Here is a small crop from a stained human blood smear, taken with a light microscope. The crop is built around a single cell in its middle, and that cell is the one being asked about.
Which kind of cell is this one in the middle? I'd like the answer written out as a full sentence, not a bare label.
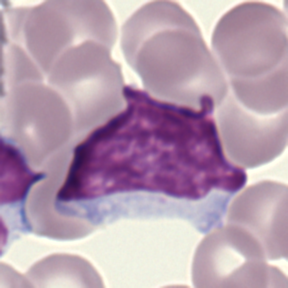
The cell in the middle of the field of view is a typical lymphocyte.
